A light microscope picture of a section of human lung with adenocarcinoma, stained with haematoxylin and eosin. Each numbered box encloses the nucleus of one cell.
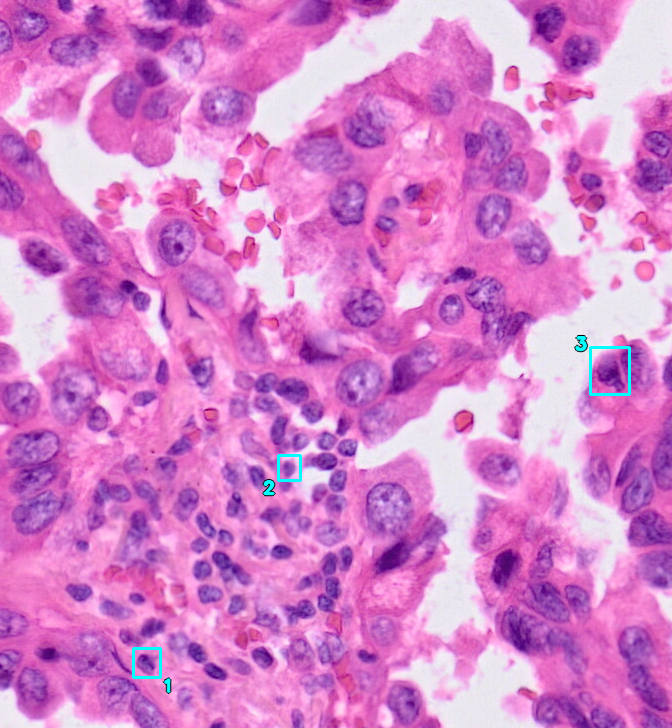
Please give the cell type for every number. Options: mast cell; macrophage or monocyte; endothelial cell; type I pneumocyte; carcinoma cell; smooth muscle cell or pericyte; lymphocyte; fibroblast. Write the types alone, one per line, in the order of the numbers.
lymphocyte
lymphocyte
carcinoma cell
